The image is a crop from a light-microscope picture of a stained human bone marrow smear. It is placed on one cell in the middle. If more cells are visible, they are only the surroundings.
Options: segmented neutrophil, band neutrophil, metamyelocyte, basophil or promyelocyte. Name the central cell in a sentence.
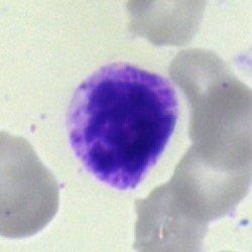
Within this crop, a basophil occupies the central position.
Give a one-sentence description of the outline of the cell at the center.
Smooth all around, the outline has no projections to report.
